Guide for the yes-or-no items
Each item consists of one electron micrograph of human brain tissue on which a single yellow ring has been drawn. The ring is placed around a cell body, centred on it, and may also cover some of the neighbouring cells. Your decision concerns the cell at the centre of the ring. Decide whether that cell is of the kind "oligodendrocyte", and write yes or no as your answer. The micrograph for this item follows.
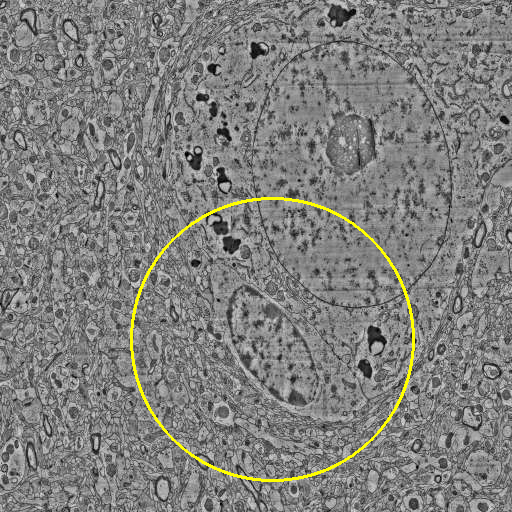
no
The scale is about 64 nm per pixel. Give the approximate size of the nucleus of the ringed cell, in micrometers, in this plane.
The ringed cell's nucleus measures approximately 9 by 4 micrometres in this plane.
